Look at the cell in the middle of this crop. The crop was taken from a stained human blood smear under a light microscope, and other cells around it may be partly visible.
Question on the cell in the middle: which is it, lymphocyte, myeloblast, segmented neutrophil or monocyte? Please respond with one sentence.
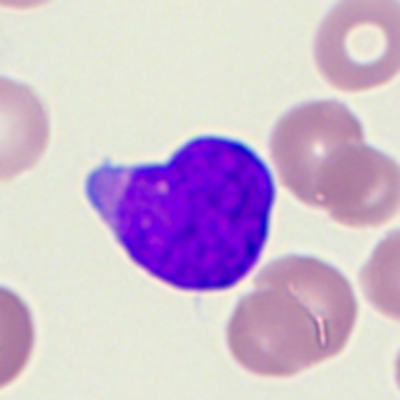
On this slide crop, the central cell is a myeloblast.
